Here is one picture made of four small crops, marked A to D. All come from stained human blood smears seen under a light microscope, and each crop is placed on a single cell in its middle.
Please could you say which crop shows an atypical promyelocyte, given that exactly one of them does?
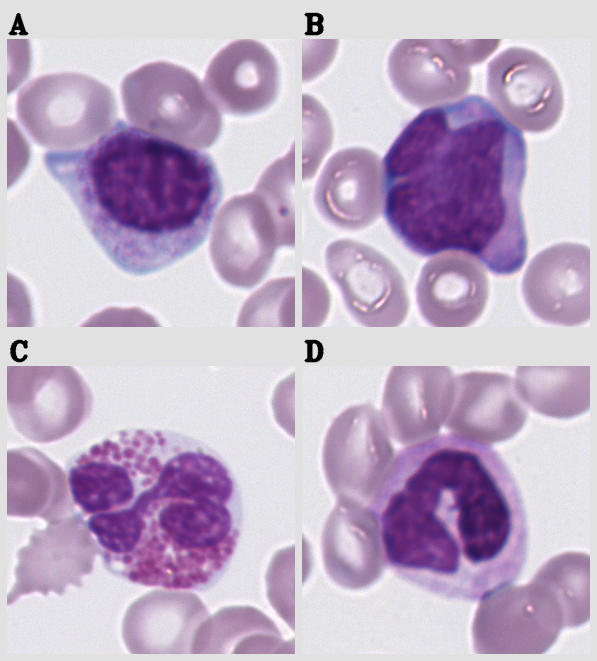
B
